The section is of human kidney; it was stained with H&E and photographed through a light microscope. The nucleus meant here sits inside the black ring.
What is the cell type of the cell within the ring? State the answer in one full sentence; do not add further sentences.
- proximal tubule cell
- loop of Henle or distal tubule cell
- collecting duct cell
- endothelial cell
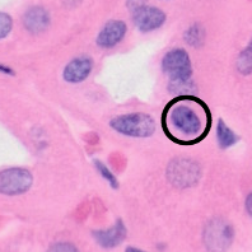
Right, so the cell within the ring is a collecting duct cell, to answer that.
